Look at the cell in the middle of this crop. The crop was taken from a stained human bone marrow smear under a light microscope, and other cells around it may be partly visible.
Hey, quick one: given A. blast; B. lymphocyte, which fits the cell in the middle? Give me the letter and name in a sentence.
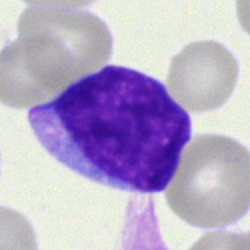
Option A is to be chosen, as the central cell is a blast.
